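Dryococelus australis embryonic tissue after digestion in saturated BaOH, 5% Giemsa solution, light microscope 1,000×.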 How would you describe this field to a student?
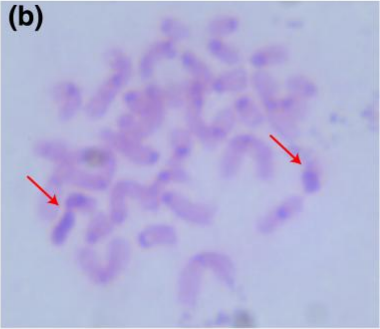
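This is a metaphase chromosome spread in which condensed chromosomes lie scattered as separate short rods and curved bodies on a pale blue background. Most chromosomes stain a light pink-purple, while two bodies stain a more intense dark blue-purple and differ from each other in size and shape.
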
